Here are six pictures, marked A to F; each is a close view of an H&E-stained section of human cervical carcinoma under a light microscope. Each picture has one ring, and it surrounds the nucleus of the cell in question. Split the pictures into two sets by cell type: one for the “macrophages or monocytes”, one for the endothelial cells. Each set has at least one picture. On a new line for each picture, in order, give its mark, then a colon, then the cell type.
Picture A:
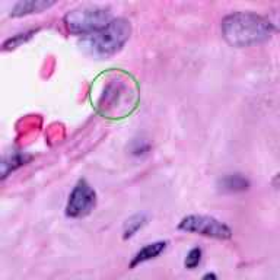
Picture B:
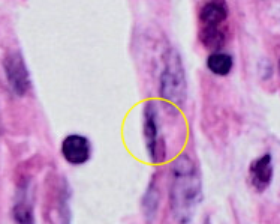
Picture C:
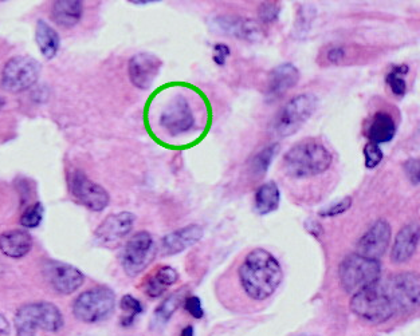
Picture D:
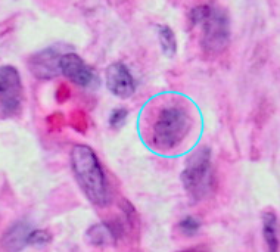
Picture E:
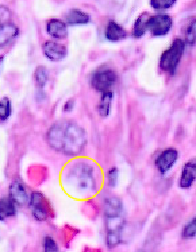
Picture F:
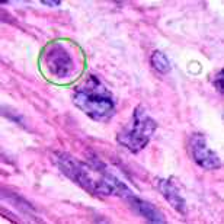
A: endothelial cell
B: endothelial cell
C: macrophage or monocyte
D: macrophage or monocyte
E: endothelial cell
F: macrophage or monocyte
